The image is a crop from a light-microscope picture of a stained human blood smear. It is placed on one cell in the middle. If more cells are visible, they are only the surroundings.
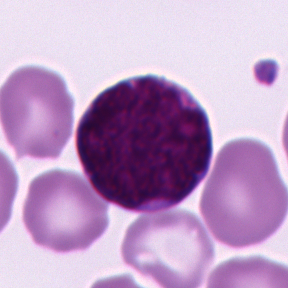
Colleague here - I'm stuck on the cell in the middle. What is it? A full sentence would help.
The target cell in the middle of the crop is a myeloblast.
